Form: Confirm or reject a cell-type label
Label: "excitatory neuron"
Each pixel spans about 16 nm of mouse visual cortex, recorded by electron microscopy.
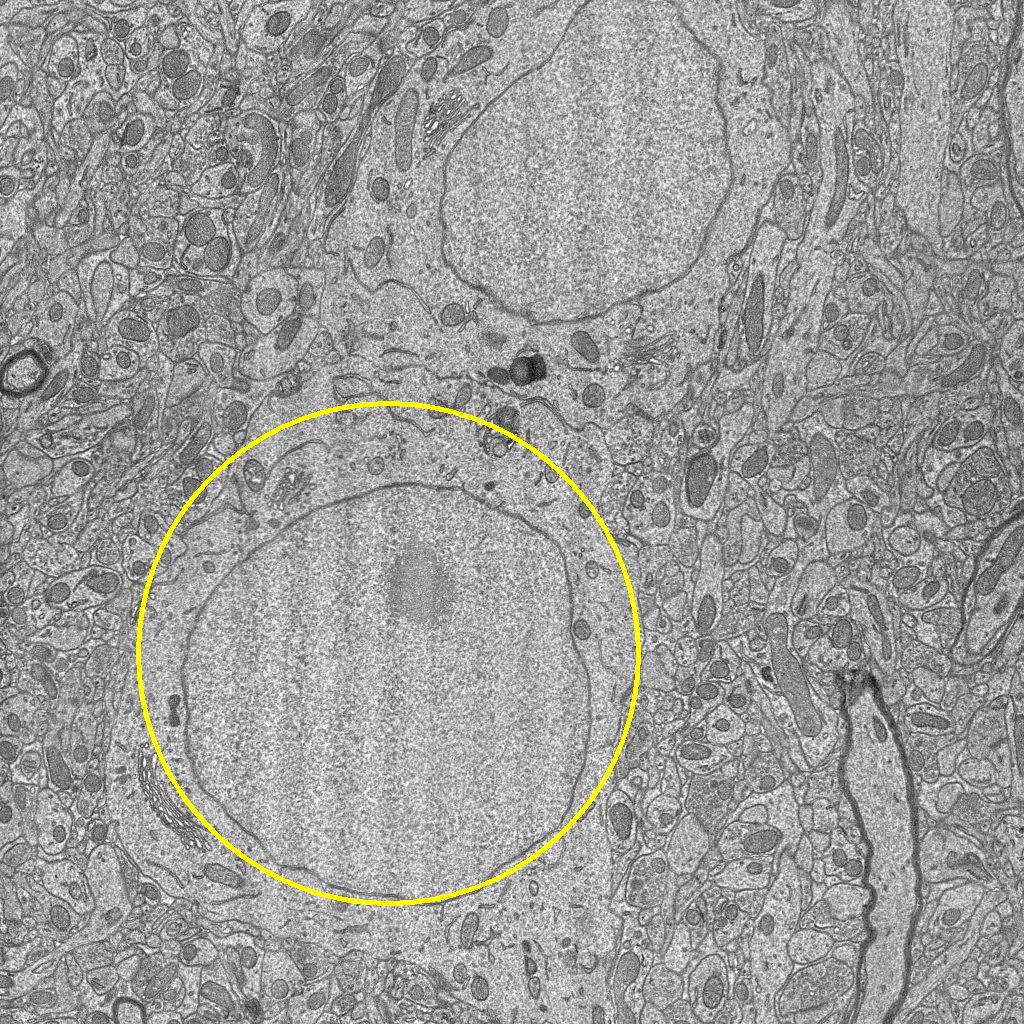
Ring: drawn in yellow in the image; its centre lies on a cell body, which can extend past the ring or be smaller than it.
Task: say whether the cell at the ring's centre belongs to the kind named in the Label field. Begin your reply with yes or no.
Yes, it belongs to that kind.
